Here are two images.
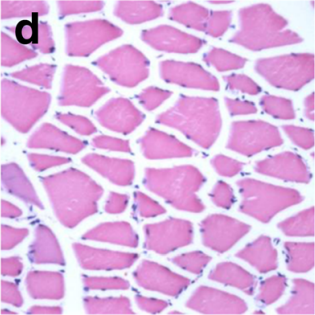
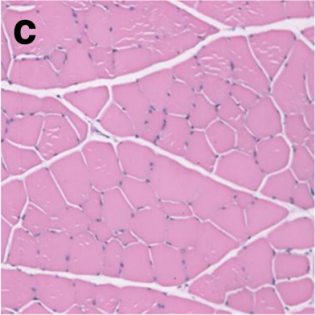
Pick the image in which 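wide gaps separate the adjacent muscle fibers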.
the first image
